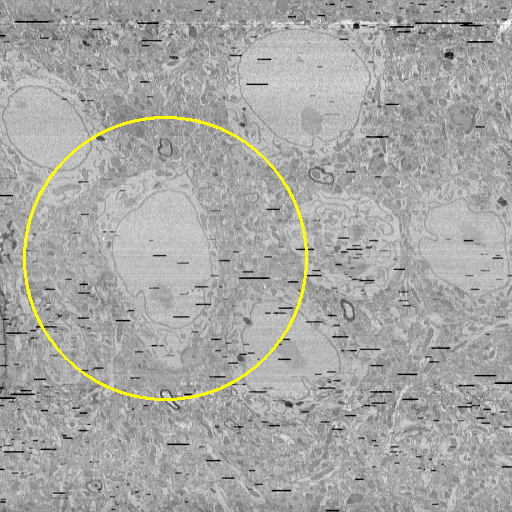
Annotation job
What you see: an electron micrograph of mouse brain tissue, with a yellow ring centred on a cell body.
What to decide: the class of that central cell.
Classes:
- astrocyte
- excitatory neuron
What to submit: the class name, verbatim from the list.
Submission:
excitatory neuron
